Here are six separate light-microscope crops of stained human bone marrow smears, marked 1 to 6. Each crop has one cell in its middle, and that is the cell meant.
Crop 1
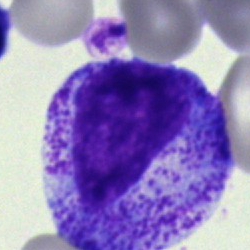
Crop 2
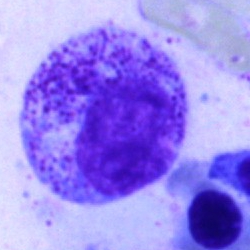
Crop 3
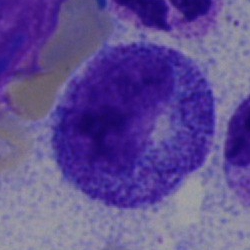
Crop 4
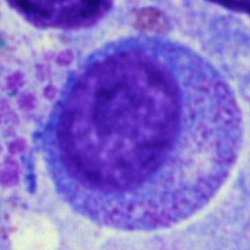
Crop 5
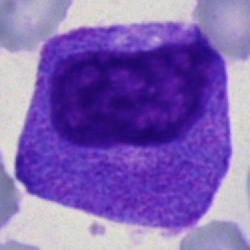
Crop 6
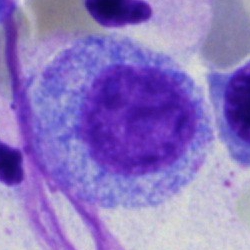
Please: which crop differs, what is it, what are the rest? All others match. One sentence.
Crop 2 shows a myelocyte; by contrast, all the other crops show promyelocytes.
